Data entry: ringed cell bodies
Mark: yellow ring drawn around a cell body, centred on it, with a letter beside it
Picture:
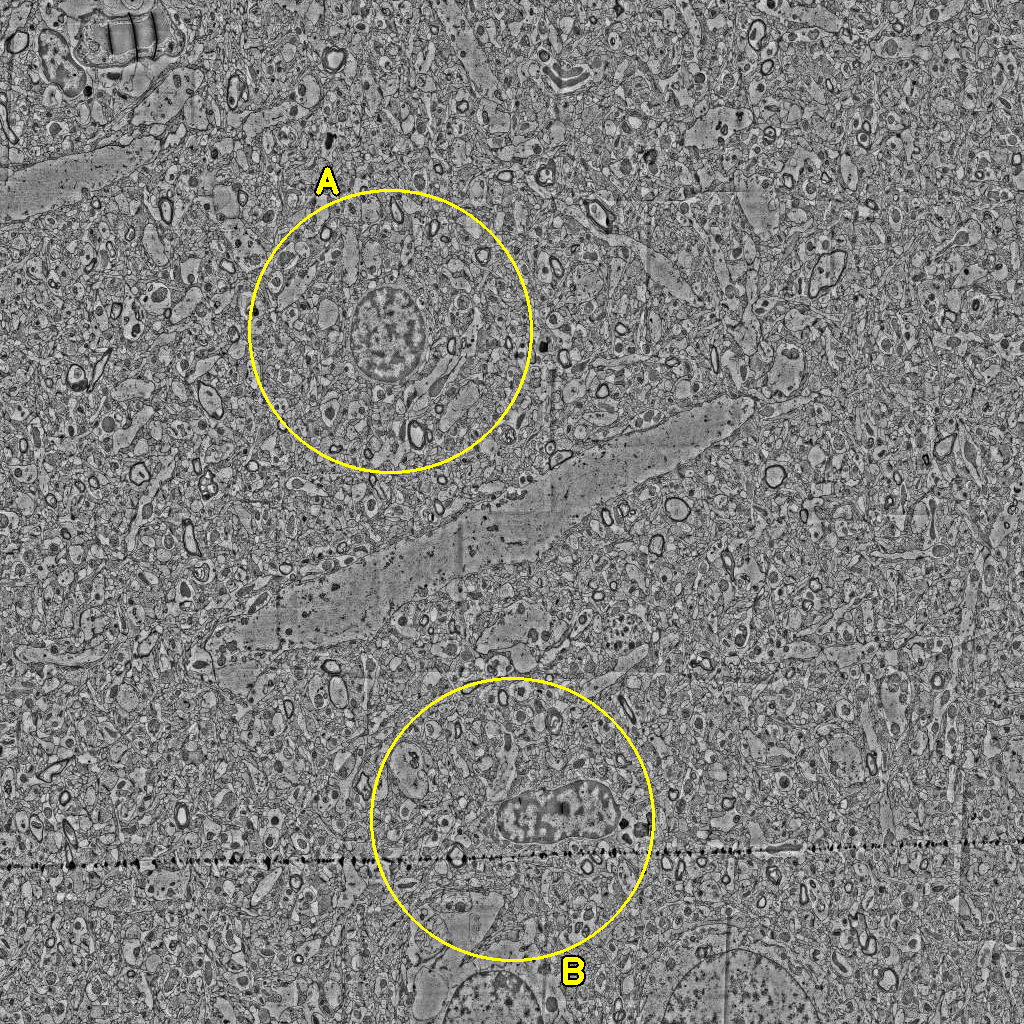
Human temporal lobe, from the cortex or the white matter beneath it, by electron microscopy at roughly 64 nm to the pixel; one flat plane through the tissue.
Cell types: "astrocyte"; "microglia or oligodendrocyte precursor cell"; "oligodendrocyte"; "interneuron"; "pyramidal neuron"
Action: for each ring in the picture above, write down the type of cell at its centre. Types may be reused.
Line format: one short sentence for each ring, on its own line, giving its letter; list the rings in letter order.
For ring A, the cell at the centre is an oligodendrocyte.
For ring B, the cell at the centre is a microglial cell or oligodendrocyte precursor cell.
